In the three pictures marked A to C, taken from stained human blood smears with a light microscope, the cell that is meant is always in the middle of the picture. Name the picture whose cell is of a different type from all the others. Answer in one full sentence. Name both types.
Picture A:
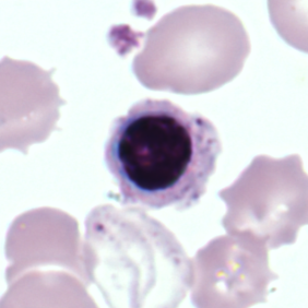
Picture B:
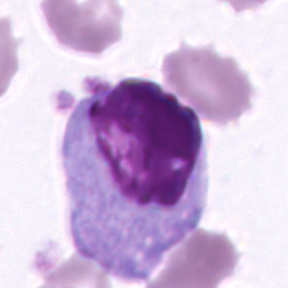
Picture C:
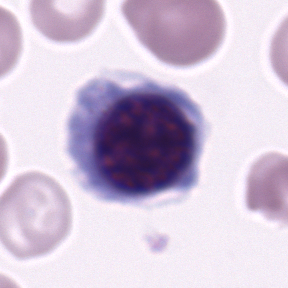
The different one is picture B; it shows a plasma cell, whereas all the others show normoblasts.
